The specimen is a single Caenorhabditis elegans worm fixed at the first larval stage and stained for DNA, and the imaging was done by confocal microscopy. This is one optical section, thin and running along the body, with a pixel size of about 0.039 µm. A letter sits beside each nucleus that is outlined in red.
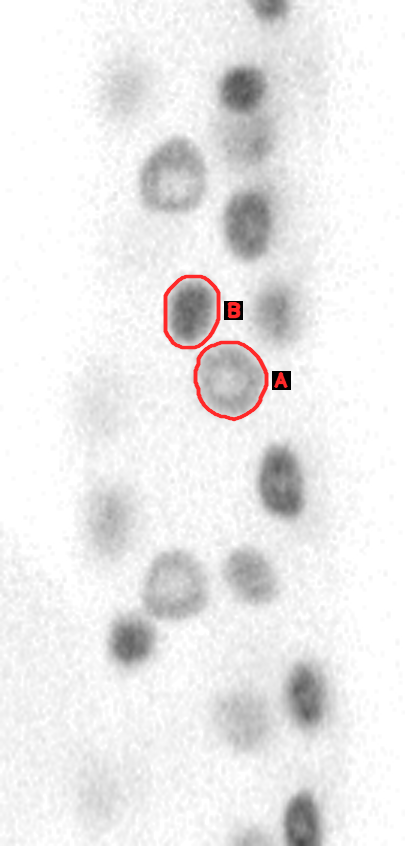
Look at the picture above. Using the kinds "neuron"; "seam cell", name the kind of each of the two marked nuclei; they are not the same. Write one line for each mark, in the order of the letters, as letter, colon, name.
A: seam cell
B: neuron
